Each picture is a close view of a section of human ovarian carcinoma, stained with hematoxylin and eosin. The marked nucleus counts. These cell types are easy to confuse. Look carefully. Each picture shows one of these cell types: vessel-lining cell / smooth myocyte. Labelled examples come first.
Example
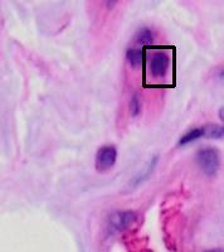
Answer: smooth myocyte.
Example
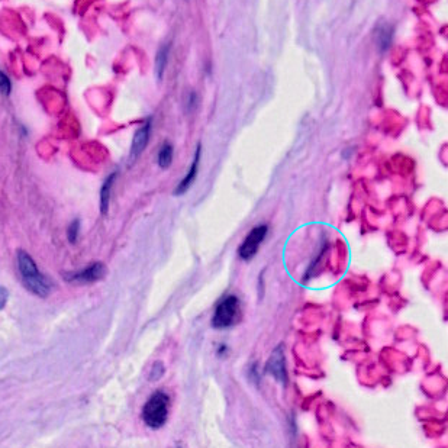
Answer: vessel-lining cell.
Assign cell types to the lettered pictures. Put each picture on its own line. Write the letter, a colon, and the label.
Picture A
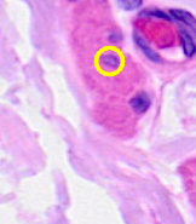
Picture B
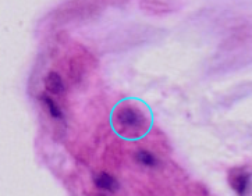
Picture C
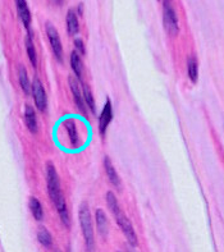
A: smooth myocyte.
B: smooth myocyte.
C: smooth myocyte.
